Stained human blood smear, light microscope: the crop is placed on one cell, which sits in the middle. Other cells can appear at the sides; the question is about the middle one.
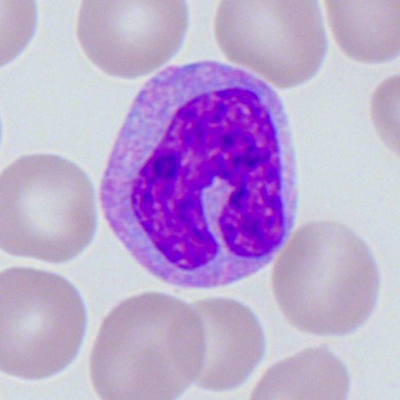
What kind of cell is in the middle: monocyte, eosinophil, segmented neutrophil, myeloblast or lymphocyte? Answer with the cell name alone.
monocyte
